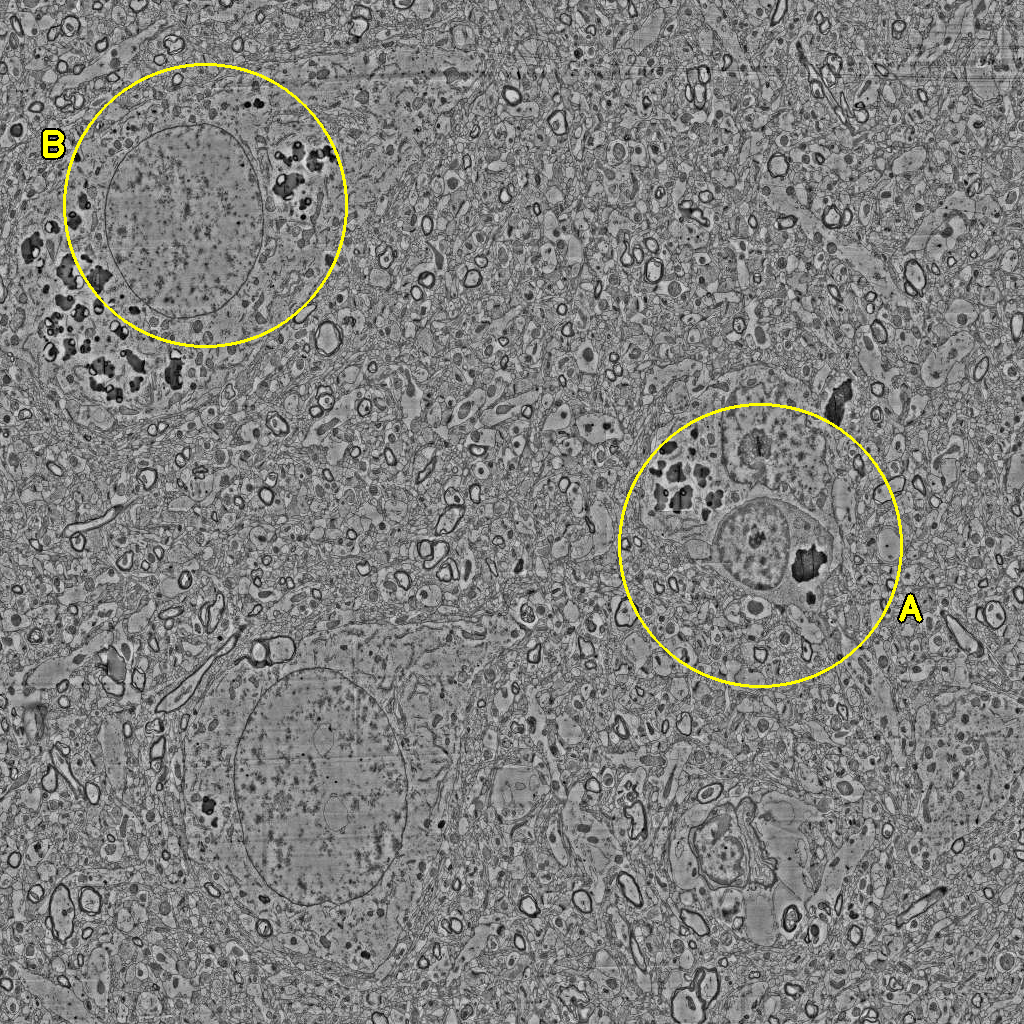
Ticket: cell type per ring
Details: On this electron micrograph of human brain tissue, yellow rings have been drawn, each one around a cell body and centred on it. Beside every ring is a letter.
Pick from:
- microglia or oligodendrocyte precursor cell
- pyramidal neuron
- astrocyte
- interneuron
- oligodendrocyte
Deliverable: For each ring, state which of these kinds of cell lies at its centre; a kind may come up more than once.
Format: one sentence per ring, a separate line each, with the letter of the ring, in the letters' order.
The cell body ringed as A belongs to an oligodendrocyte.
The cell body ringed as B belongs to a pyramidal neuron.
